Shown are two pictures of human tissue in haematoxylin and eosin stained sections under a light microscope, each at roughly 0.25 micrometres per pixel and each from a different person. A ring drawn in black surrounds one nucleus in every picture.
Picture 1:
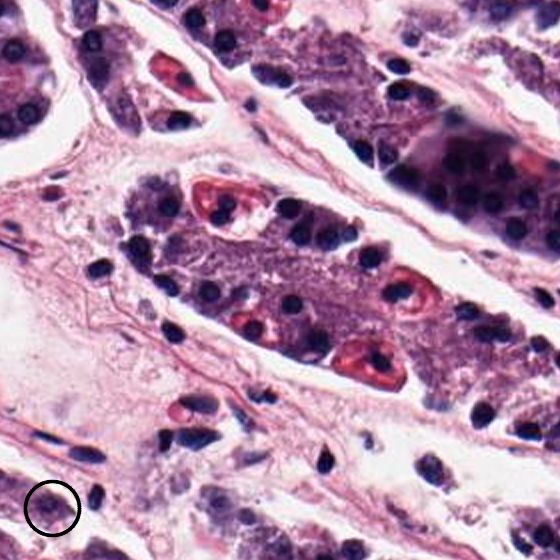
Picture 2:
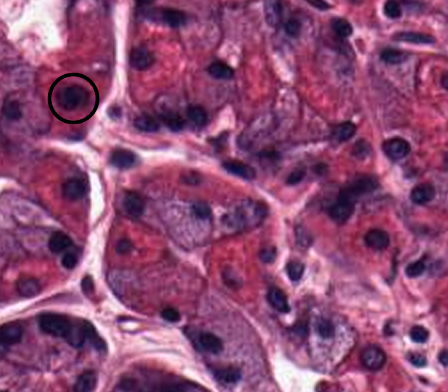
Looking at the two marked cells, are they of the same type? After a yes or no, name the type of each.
No, the first is a chief cell and the second a parietal cell.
